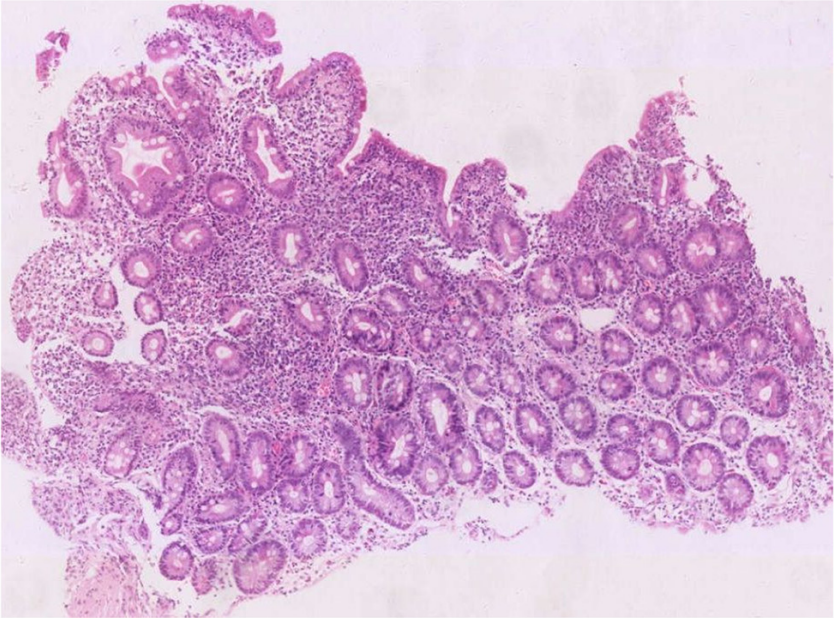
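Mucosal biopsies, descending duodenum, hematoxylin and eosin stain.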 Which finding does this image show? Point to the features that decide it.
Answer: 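Villous blunting. The mucosal surface is nearly flat, with only short, broad projections instead of tall slender villi. Many round glands cut in cross-section lie beneath the surface.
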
